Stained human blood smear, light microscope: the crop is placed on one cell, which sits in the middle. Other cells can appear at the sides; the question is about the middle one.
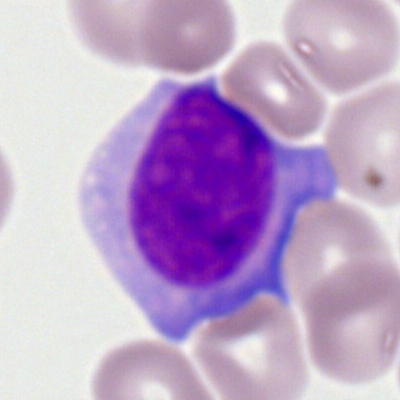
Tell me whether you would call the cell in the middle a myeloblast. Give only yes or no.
yes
